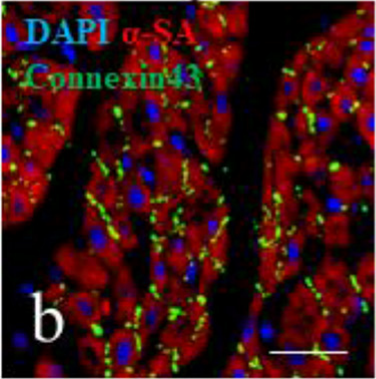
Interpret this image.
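Heart muscle tissue with cardiomyocytes whose cytoplasm fills with red, arranged in closely packed bundles separated by dark gaps. The green dots form short rows and clusters along cell-to-cell contacts rather than filling the cytoplasm. Dark spaces without red staining run between the muscle bundles.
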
